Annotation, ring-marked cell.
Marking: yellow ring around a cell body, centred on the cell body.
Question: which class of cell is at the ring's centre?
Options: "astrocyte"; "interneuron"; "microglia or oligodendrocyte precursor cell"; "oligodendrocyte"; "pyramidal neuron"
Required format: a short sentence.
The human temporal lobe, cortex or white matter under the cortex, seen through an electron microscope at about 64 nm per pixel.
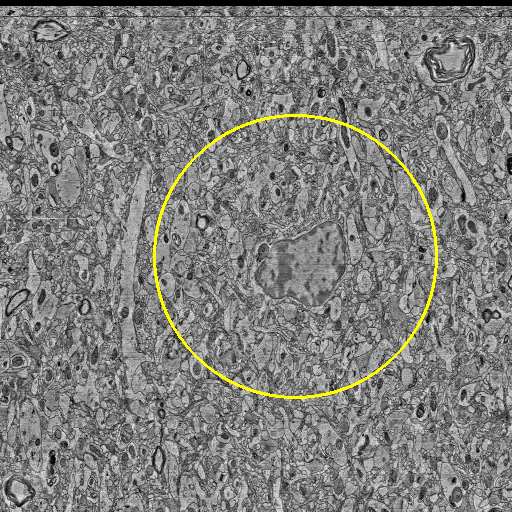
At the ring's centre is a microglial cell or oligodendrocyte precursor cell.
